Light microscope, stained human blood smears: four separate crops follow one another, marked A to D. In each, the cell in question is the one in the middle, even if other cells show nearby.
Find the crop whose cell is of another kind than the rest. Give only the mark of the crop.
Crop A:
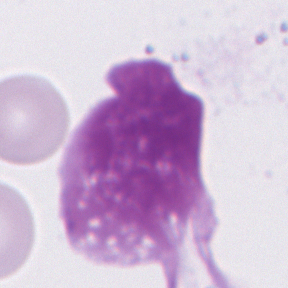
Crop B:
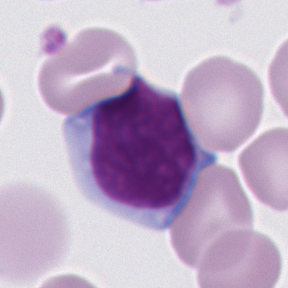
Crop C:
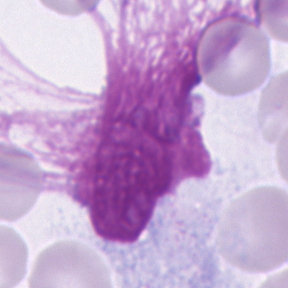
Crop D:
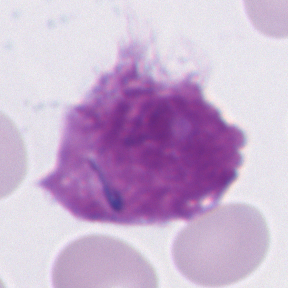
B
